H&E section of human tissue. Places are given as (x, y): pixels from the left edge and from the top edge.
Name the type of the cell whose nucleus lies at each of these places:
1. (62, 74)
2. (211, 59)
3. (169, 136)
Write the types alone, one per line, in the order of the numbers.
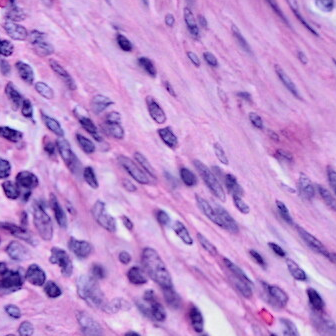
endothelial cell
smooth muscle cell
lymphocyte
